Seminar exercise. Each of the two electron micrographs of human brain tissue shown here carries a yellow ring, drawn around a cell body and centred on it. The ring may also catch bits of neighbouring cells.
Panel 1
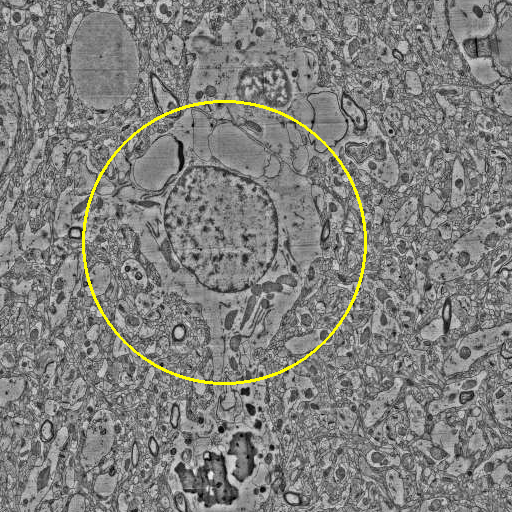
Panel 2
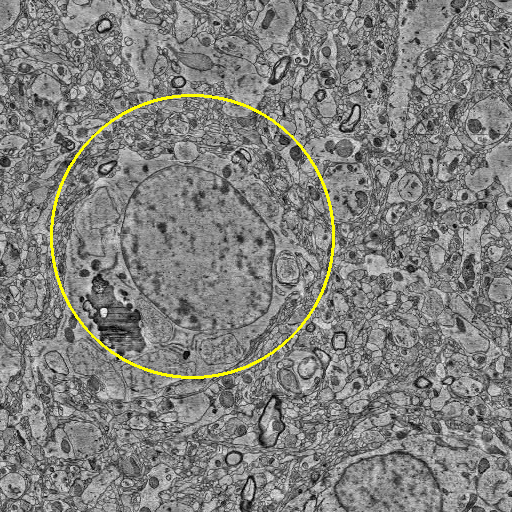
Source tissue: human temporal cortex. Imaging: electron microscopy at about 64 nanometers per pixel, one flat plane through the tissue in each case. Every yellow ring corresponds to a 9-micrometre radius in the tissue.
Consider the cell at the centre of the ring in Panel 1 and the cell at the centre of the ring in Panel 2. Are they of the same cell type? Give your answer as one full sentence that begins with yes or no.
Yes, both cells are of the same type.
